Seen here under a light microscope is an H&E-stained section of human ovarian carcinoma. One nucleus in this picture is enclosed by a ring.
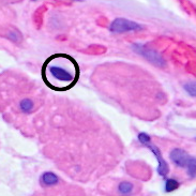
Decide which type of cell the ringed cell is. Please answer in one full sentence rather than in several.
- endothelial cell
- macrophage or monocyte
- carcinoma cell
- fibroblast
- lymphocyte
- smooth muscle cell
The expected answer is simply that the ringed cell is a lymphocyte.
